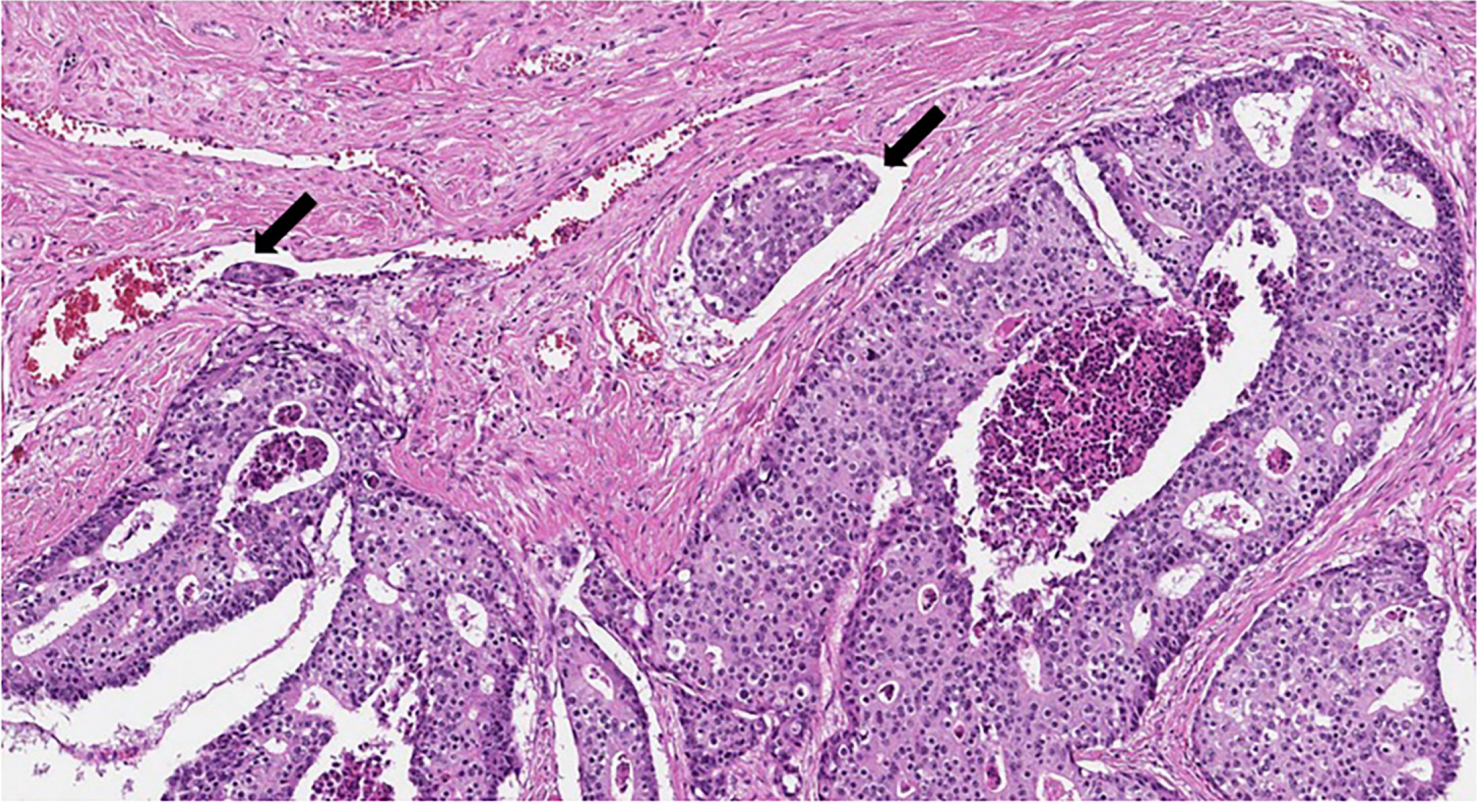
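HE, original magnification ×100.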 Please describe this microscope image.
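Carcinoma forms large cribriform nests of crowded epithelial cells, cut by many round, punched-out lumens and set in pink, fibrous stroma. The tumor cells have round to oval, dark nuclei and moderate pink cytoplasm, with nuclei crowded toward the edge of each nest. Several lumens hold pink debris mixed with dark nuclear fragments, most heavily in one large elongated central lumen. In the stroma above, small clusters of tumor cells sit within thin-walled channels, one lying next to red blood cells.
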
